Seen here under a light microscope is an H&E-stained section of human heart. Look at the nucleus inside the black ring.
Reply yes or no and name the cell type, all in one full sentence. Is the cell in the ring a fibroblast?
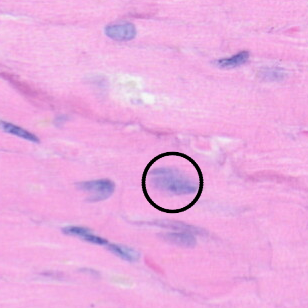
No, the identity of the cell in the ring is a cardiomyocyte, not a fibroblast.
